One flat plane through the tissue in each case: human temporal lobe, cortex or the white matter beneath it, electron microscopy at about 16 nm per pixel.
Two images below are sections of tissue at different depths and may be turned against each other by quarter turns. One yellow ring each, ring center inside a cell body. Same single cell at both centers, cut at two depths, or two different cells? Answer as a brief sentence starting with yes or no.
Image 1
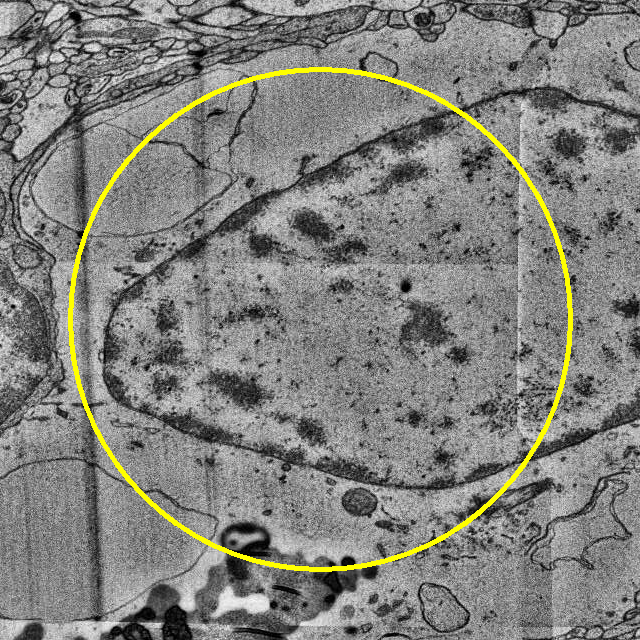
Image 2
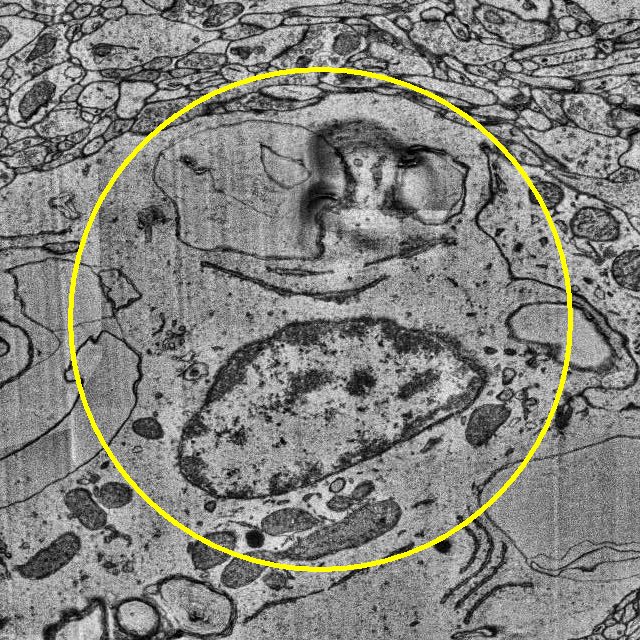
Yes, these two rings point to one cell rather than two.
